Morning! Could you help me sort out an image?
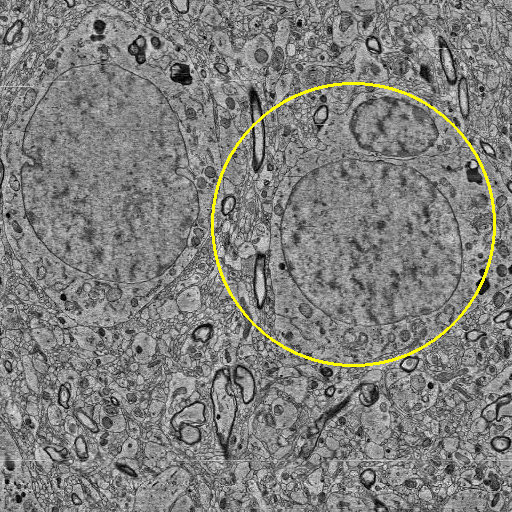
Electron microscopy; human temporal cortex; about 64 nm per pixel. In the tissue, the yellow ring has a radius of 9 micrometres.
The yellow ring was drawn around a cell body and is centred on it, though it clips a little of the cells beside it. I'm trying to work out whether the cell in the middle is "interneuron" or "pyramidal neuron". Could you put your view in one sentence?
The ringed cell body is that of an interneuron.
